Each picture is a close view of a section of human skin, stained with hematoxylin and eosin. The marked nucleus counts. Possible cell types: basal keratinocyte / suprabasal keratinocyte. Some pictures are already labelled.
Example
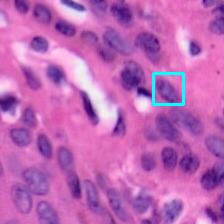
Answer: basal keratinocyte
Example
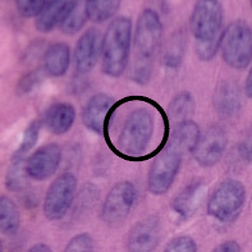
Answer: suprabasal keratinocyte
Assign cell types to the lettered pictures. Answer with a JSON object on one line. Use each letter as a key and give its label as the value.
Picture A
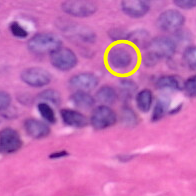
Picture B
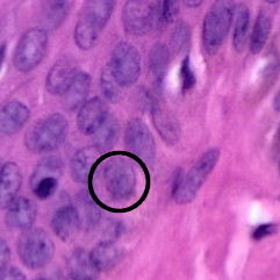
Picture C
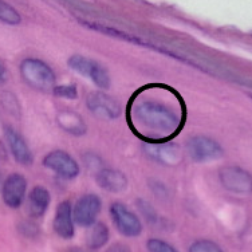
{"A": "basal keratinocyte", "B": "basal keratinocyte", "C": "suprabasal keratinocyte"}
